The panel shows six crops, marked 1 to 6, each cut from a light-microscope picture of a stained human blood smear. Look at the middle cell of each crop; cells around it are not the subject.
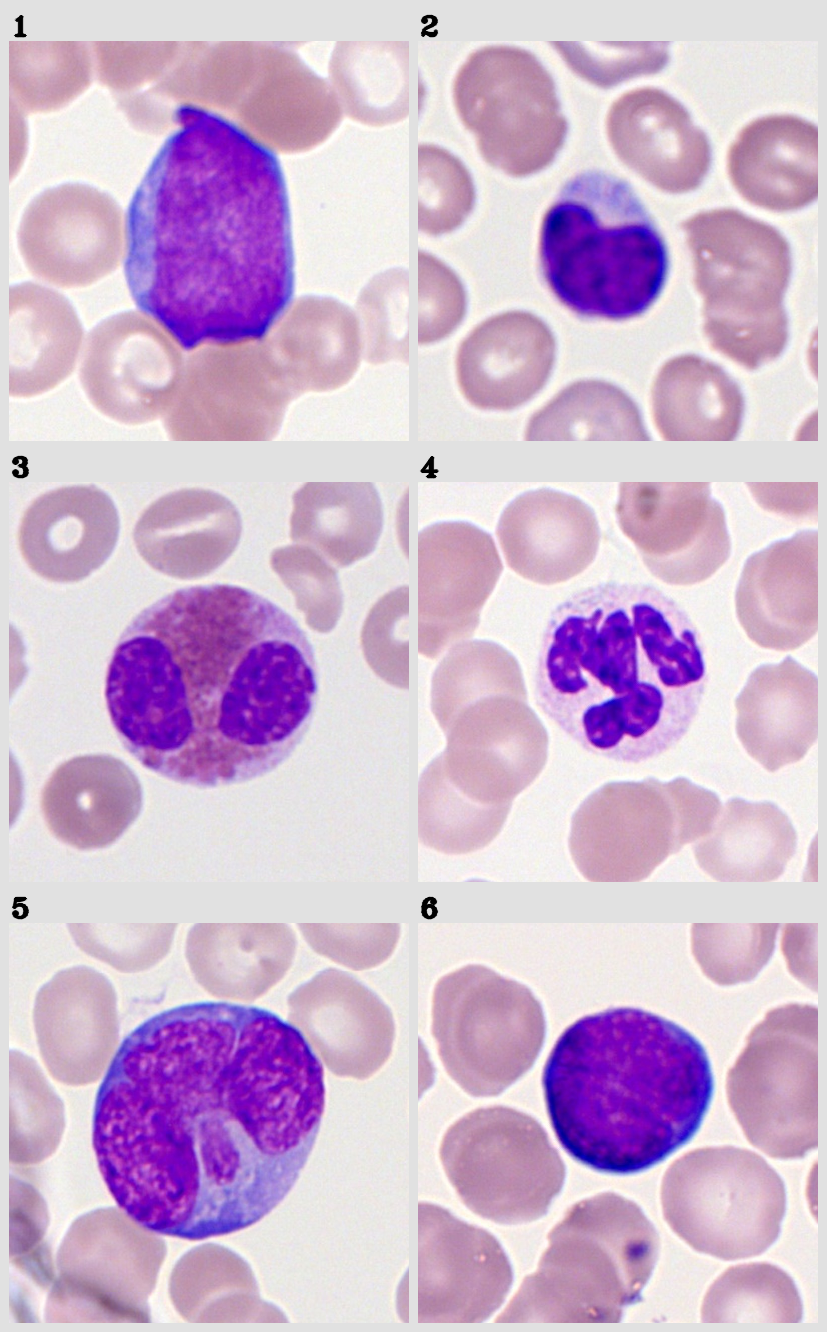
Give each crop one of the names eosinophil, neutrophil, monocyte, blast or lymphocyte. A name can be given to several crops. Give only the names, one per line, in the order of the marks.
blast
lymphocyte
eosinophil
neutrophil
blast
blast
